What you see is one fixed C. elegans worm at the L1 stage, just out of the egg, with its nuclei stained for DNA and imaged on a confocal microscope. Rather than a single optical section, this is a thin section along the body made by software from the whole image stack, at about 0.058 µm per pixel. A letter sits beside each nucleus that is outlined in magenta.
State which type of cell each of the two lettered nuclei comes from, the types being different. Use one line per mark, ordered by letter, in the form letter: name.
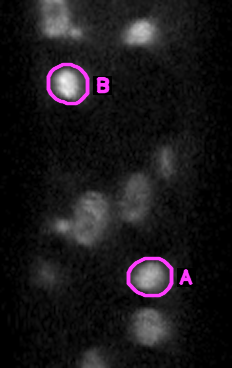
A: neuron
B: glial cell (sheath or socket)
